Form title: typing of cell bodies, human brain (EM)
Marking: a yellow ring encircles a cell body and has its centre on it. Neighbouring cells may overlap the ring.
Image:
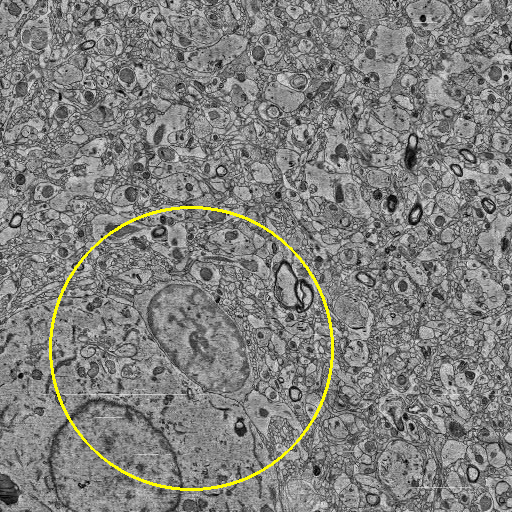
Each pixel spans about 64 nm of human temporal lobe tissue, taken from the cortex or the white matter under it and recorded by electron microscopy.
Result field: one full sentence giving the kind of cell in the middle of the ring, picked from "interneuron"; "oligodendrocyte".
In the picture, the ring is centred on an oligodendrocyte, whose cell body it encircles.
